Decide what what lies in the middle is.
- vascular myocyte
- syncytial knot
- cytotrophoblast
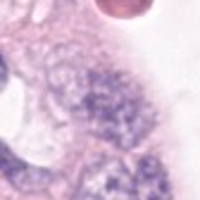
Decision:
cytotrophoblast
